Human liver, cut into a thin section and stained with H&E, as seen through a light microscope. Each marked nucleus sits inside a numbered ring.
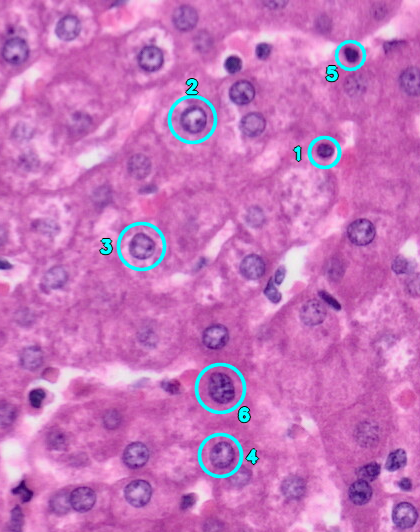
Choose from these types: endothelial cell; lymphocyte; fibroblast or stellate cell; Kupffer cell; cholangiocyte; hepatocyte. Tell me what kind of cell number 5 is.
lymphocyte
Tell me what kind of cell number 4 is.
hepatocyte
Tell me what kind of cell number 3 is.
hepatocyte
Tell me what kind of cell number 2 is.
hepatocyte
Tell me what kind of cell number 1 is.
lymphocyte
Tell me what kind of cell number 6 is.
hepatocyte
